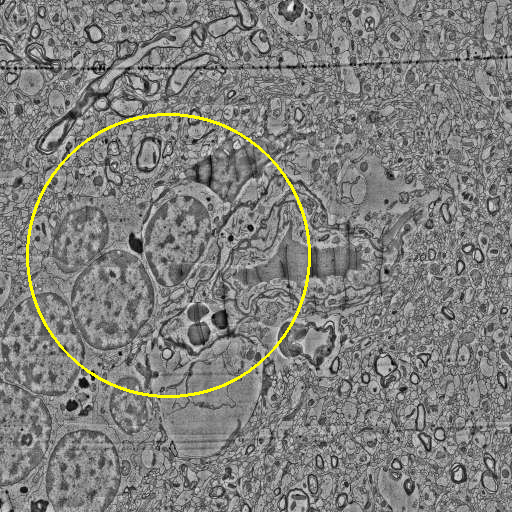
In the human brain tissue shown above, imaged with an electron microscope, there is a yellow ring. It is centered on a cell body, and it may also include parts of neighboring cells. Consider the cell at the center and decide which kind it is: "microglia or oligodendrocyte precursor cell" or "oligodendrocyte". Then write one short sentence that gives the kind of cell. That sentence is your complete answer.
This centered cell body is that of a microglial cell or oligodendrocyte precursor cell.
